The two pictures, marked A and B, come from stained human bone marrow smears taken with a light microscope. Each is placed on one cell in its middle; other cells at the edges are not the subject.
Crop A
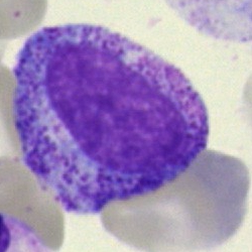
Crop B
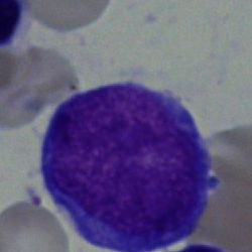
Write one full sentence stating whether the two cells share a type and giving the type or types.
No, crop A shows a promyelocyte, with a blast shown in crop B.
